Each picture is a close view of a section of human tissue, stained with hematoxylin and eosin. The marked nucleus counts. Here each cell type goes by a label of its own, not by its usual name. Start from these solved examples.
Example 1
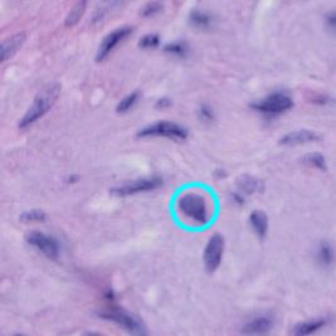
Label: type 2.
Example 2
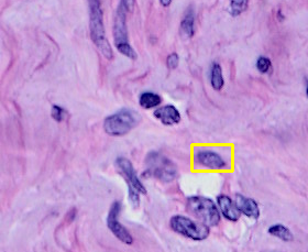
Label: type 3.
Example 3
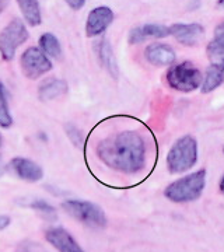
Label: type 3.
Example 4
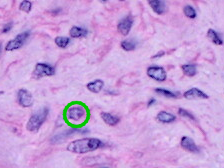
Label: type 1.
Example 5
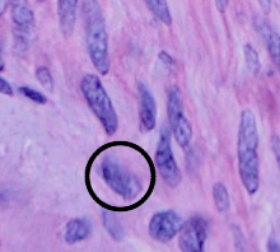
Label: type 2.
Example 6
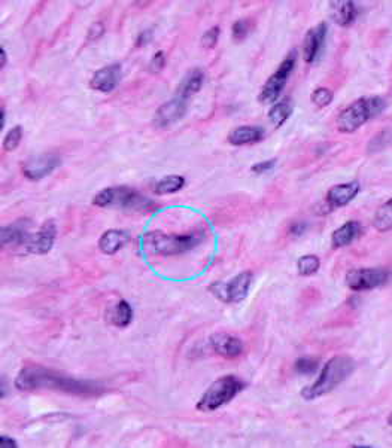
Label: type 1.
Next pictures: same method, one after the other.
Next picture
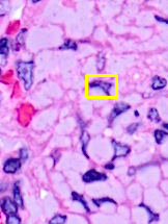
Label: type 2.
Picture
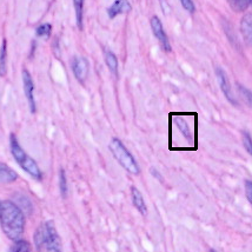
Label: type 2.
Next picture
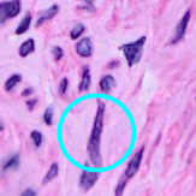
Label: type 1.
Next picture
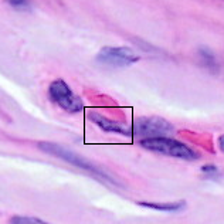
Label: type 3.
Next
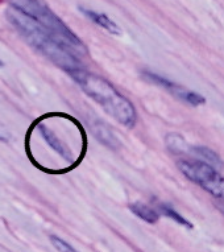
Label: type 2.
